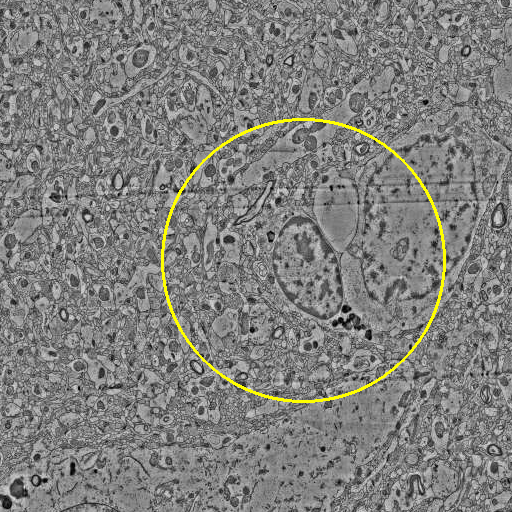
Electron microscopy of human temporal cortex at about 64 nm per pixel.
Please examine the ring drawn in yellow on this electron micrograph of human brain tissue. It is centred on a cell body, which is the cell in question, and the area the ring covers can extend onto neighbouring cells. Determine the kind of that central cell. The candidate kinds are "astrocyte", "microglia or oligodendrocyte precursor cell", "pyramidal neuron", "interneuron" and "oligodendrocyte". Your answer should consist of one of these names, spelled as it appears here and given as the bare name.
microglia or oligodendrocyte precursor cell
